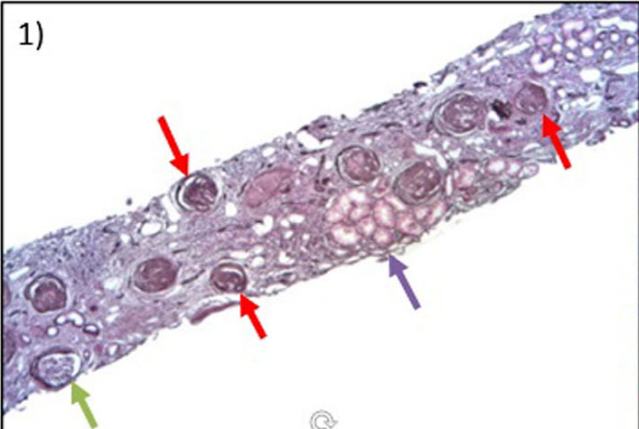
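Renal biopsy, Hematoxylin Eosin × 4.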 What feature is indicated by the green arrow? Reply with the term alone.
Glomerulus.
